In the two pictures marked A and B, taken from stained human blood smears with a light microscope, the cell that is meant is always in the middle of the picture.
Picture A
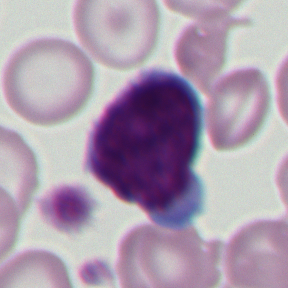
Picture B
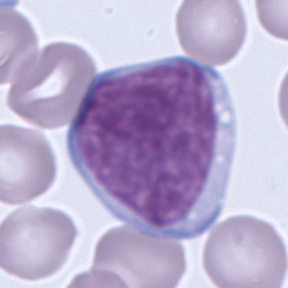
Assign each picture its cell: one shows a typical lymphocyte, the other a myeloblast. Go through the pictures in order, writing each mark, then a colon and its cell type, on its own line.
A: typical lymphocyte
B: myeloblast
